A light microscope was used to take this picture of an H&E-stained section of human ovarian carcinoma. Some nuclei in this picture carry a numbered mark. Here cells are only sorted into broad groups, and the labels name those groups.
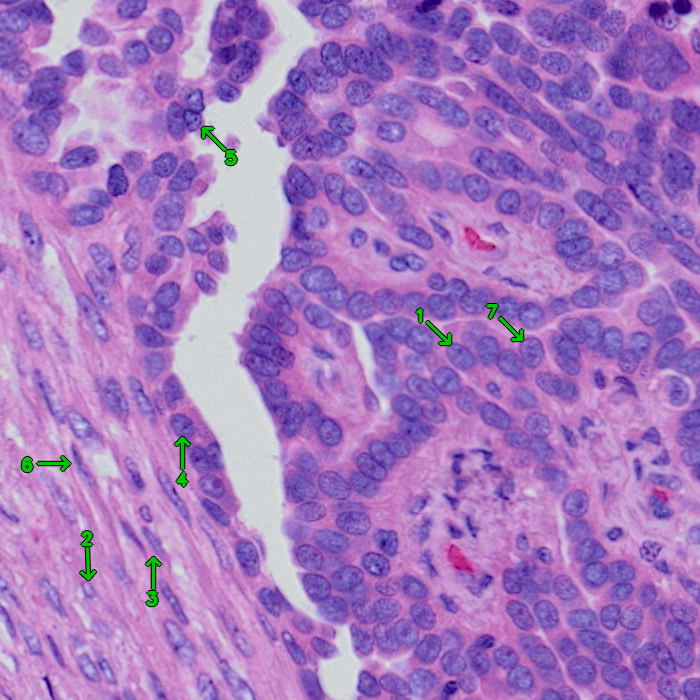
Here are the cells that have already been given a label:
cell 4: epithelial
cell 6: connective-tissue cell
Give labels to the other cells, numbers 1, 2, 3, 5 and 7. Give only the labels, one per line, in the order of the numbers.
epithelial
connective-tissue cell
connective-tissue cell
epithelial
epithelial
